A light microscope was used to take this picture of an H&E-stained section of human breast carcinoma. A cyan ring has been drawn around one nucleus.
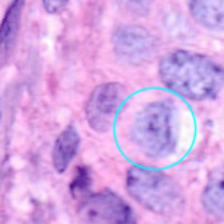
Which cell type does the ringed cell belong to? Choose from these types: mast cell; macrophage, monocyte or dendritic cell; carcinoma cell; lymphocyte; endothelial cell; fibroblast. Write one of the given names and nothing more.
carcinoma cell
